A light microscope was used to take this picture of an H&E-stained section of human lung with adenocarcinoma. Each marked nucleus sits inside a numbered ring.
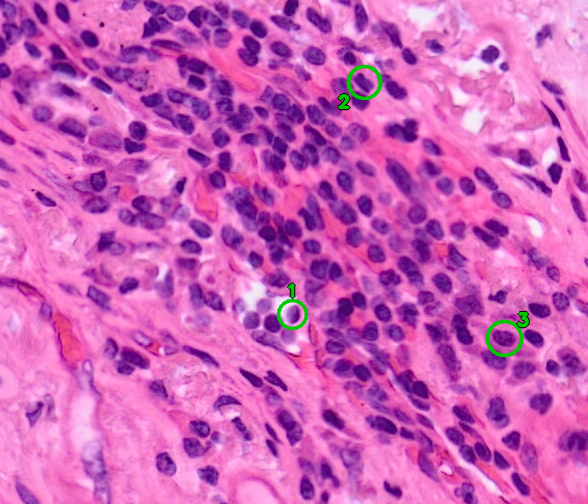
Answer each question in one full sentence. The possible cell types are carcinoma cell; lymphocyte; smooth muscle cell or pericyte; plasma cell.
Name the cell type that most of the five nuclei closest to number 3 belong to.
Plasma cells make up most of the five nuclei closest to number 3.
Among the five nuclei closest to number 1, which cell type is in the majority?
Of the five nuclei nearest to number 1, most belong to lymphocytes.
